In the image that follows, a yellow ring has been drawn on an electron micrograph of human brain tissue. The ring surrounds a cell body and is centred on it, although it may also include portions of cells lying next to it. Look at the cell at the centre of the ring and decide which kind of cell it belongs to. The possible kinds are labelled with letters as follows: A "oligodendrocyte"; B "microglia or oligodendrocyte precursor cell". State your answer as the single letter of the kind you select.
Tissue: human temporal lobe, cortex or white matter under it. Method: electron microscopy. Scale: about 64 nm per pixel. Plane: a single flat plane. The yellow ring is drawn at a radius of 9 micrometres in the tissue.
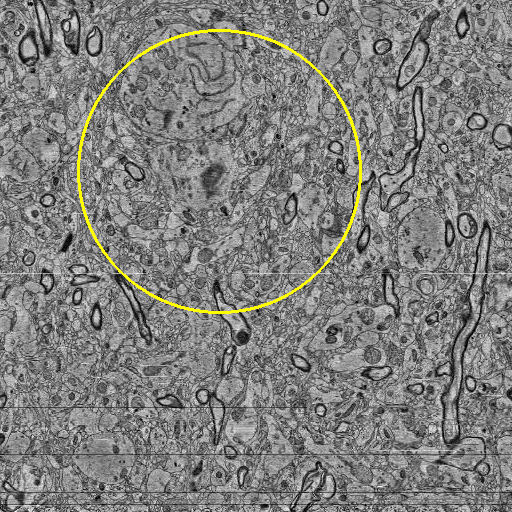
A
